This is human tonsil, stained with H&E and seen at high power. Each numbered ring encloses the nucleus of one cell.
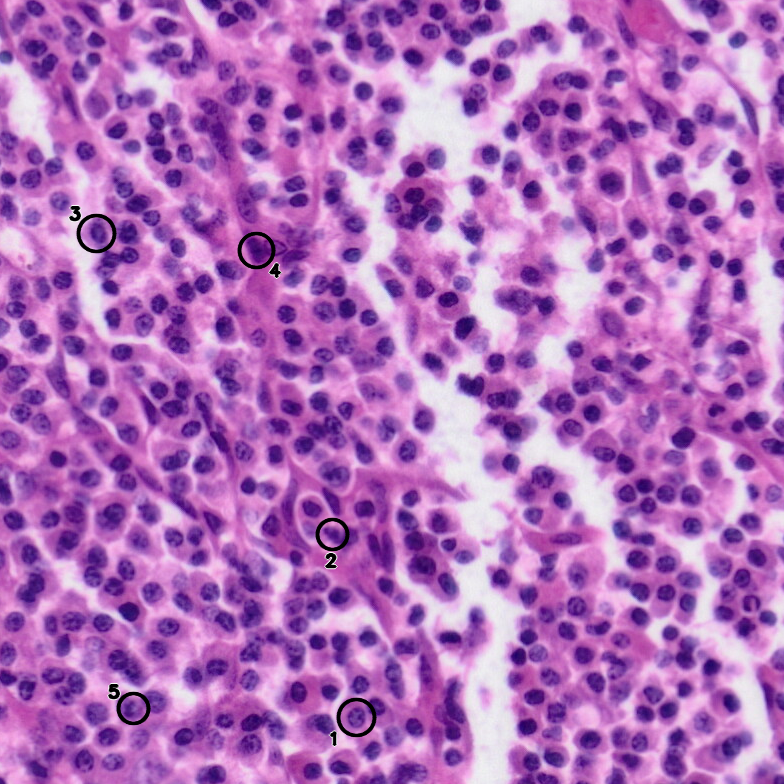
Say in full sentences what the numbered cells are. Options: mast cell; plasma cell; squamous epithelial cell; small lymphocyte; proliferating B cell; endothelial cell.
Cells 1, 3 and 5 are plasma cells. Cells 2 and 4 are squamous epithelial cells.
